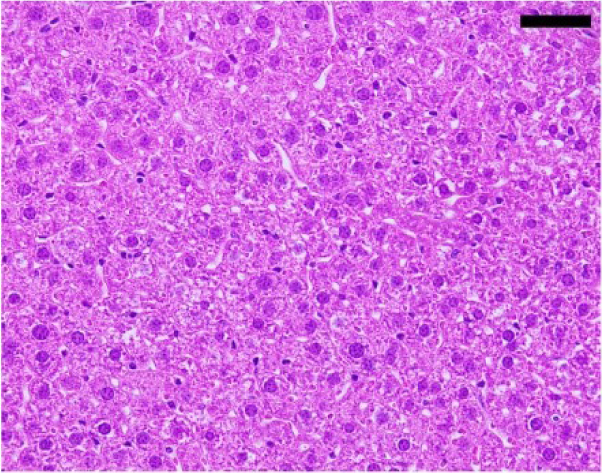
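Liver parenchyma made of hepatocytes seen at high magnification. The cells are arranged in plates separated by narrow sinusoidal spaces, along which small, dark, elongated nuclei of lining cells are scattered. No inflammatory clusters or large fat vacuoles are evident, and the overall arrangement is even across the field.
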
